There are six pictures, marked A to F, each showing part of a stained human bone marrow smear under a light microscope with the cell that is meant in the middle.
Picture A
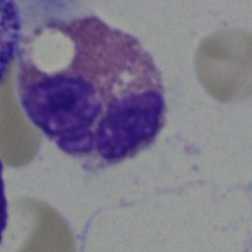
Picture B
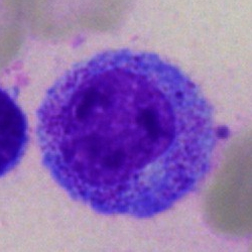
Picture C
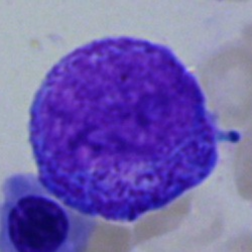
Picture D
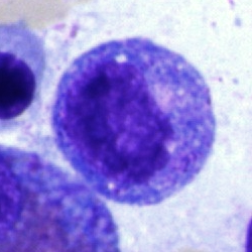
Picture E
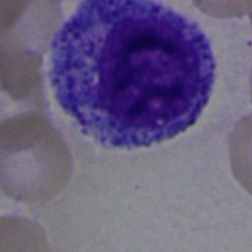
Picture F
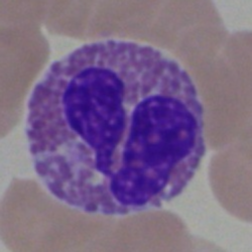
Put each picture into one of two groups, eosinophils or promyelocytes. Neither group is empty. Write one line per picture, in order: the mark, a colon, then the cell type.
A: eosinophil
B: promyelocyte
C: promyelocyte
D: promyelocyte
E: promyelocyte
F: eosinophil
